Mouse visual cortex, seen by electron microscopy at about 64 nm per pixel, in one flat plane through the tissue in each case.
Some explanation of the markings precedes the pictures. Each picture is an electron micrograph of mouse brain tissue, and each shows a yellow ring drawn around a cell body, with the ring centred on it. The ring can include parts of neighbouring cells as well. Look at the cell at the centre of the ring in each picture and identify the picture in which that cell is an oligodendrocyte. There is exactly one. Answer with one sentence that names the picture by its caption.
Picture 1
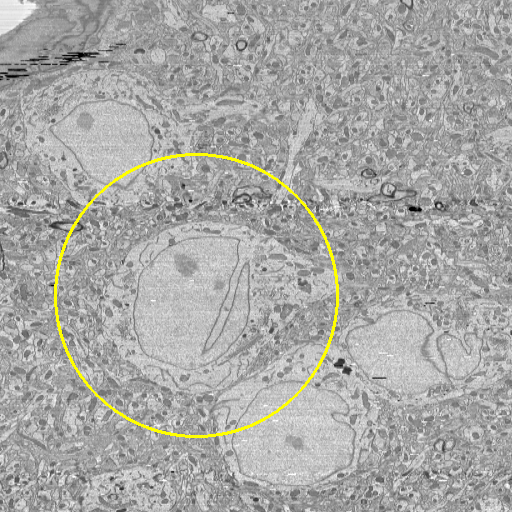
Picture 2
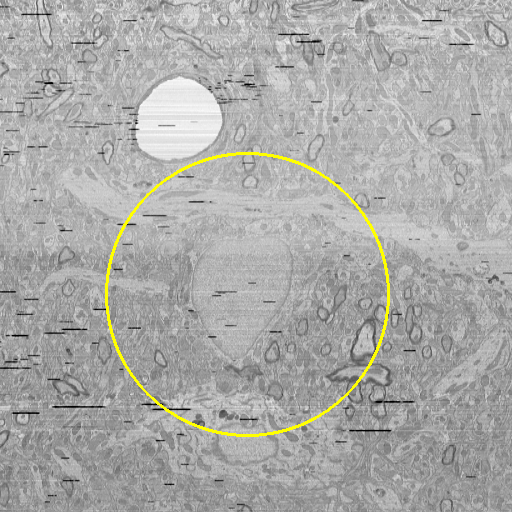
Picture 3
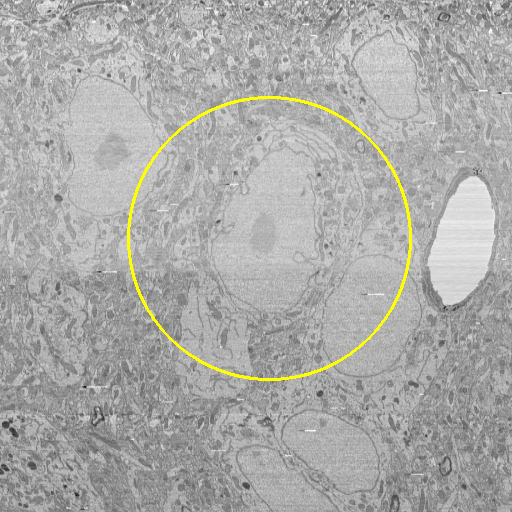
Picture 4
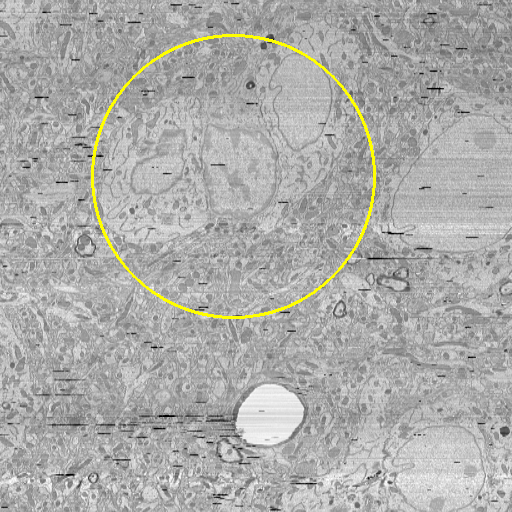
In Picture 4, the cell at the centre of the ring is of that kind.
